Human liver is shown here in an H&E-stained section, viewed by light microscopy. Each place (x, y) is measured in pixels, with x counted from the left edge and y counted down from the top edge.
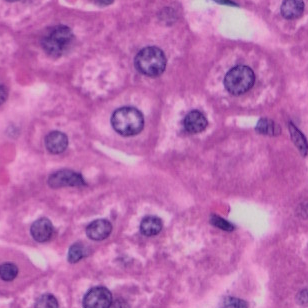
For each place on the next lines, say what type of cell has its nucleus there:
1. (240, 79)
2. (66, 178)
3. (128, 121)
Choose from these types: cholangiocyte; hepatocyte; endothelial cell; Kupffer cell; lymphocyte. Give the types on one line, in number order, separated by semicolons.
hepatocyte; Kupffer cell; hepatocyte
